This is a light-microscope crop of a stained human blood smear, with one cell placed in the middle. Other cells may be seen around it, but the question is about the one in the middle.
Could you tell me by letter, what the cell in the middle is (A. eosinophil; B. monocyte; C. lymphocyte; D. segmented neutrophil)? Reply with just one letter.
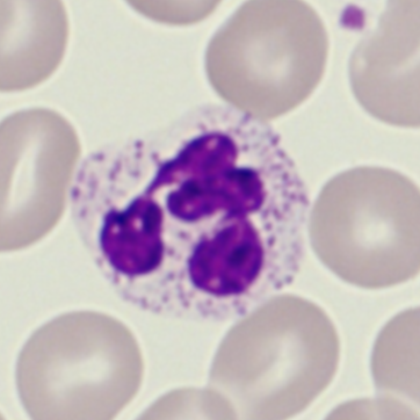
D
